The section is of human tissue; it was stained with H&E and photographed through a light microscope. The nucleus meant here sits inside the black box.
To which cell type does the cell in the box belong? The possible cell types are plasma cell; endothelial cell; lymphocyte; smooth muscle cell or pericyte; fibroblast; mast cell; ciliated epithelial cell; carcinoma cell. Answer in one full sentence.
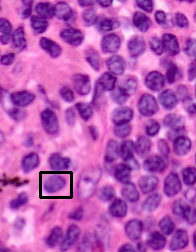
To be brief about it, the cell in the box is a lymphocyte.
